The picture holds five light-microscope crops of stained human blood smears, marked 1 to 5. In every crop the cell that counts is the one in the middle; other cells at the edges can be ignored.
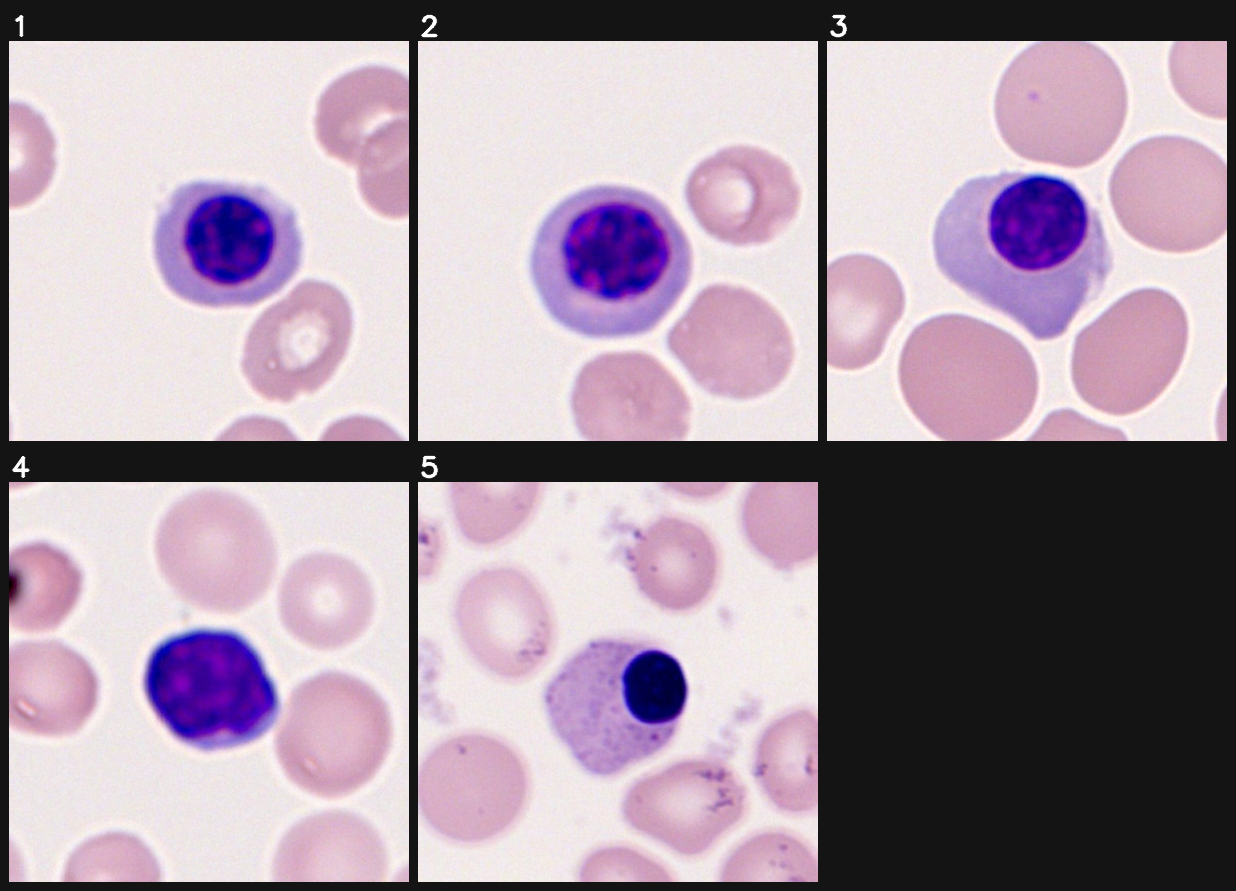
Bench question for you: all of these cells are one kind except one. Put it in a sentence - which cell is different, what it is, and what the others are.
In contrast to the other crops, all of which show erythroblasts, crop 4 shows a lymphocyte.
